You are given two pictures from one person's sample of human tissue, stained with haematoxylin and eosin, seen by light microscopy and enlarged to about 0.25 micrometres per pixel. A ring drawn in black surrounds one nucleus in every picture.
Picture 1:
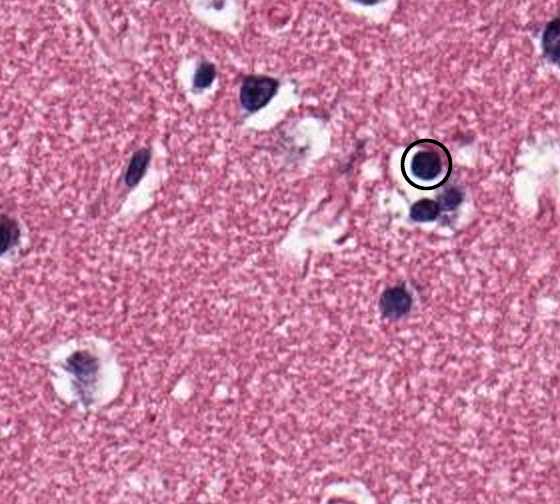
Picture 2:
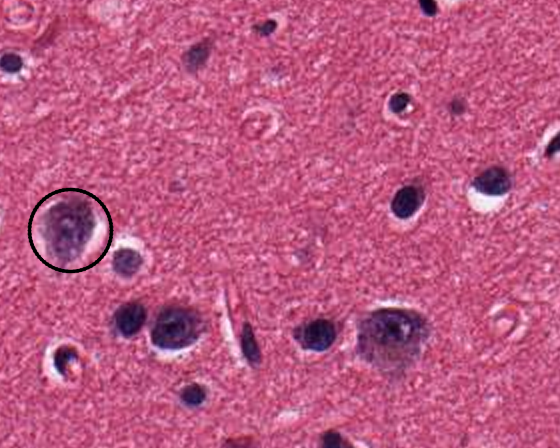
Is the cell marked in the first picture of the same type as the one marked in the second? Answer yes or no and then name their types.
No, the first is an oligodendrocyte and the second a neuron.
